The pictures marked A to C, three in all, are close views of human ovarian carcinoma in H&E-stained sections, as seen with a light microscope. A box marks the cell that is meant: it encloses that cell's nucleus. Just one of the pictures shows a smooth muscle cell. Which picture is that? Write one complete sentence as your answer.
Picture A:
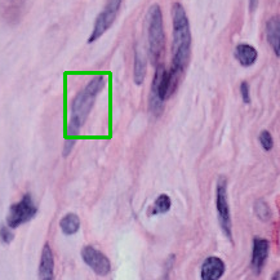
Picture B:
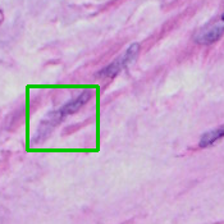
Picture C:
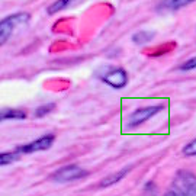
It is picture A that shows the smooth muscle cell.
